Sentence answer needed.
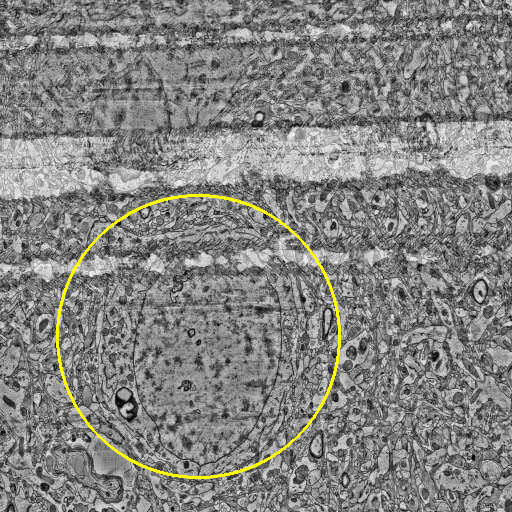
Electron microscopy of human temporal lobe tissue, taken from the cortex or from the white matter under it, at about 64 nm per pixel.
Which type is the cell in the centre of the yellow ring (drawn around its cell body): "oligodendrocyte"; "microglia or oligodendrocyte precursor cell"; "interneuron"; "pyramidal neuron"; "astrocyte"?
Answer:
In the centre of the yellow ring is a pyramidal neuron.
